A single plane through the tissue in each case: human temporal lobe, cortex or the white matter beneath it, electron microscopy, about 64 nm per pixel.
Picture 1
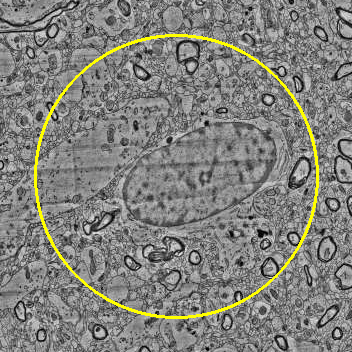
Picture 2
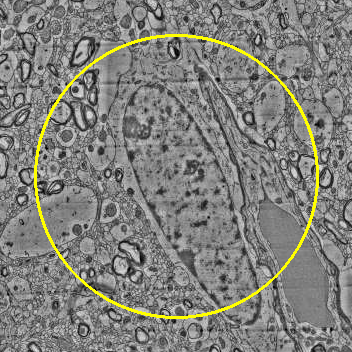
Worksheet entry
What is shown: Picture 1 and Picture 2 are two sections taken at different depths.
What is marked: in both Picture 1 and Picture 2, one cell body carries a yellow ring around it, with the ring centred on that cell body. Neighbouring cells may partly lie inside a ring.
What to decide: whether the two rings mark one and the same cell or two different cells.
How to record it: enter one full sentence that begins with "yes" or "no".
No, marked by the two rings are two different cells.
